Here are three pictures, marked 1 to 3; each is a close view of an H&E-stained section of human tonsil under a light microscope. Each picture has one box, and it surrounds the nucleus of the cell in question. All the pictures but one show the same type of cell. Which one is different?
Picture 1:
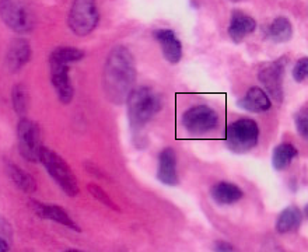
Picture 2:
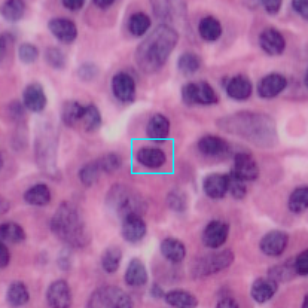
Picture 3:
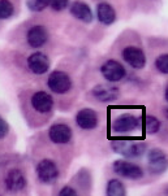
1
